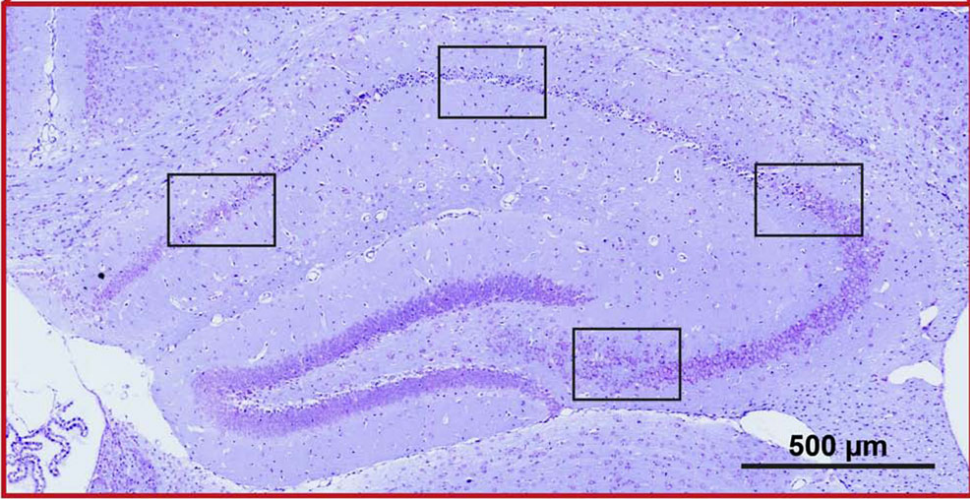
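Hippocampus in coronal section with its curved band of pyramidal neurons arching over a V-shaped layer of densely packed small granule-like cells. The pyramidal cell band is narrow along the upper arc and thickens and loosens toward the lower right end of the curve. Neuronal cell bodies stain violet and stand out against a pale lilac neuropil scattered with small dark nuclei and occasional round vessel profiles.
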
